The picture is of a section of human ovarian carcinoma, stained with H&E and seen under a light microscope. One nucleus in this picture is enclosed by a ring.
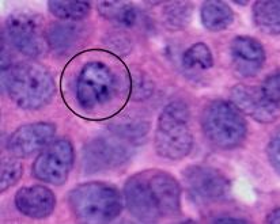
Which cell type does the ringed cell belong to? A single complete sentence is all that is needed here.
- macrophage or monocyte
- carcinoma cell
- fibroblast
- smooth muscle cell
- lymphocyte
In this section, the ringed cell is a macrophage or monocyte.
